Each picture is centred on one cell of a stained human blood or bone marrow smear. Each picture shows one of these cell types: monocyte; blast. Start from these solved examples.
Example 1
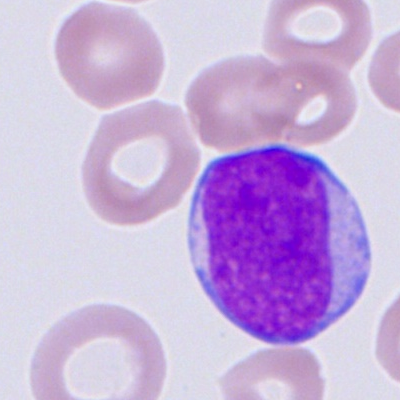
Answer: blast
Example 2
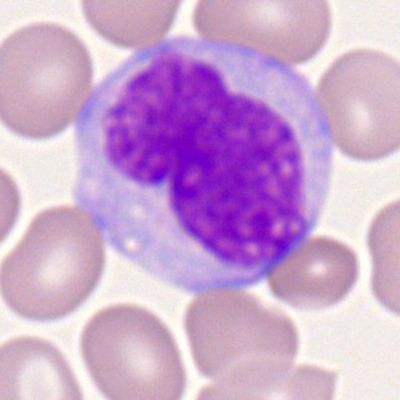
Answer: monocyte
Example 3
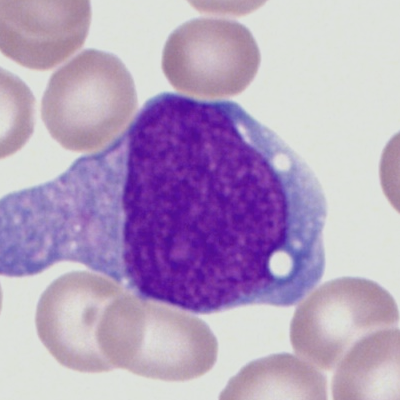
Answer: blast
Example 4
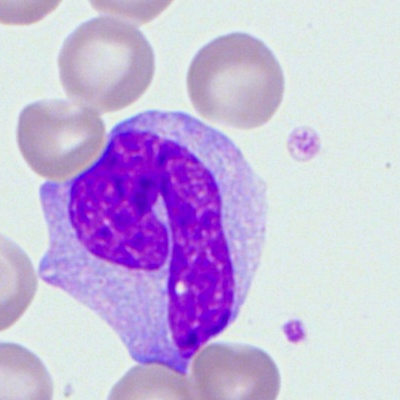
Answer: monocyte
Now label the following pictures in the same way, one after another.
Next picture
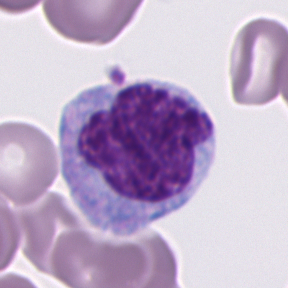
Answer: monocyte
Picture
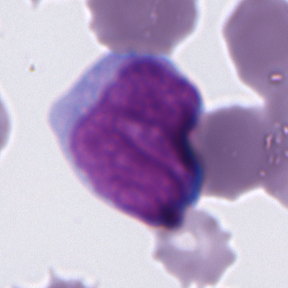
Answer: blast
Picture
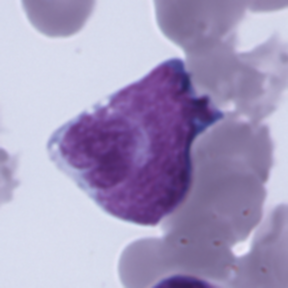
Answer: blast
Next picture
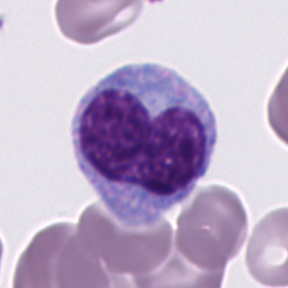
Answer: monocyte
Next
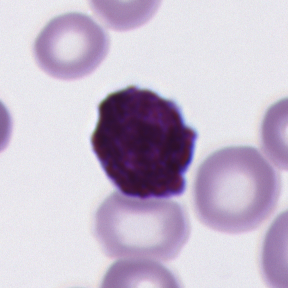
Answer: blast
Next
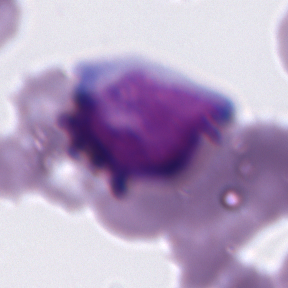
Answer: blast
